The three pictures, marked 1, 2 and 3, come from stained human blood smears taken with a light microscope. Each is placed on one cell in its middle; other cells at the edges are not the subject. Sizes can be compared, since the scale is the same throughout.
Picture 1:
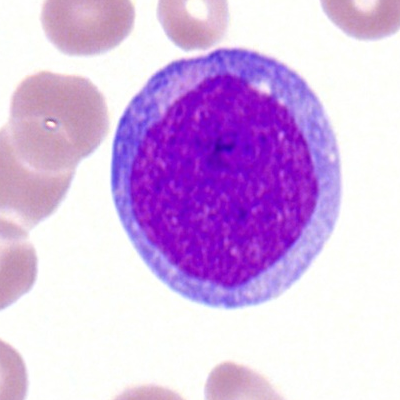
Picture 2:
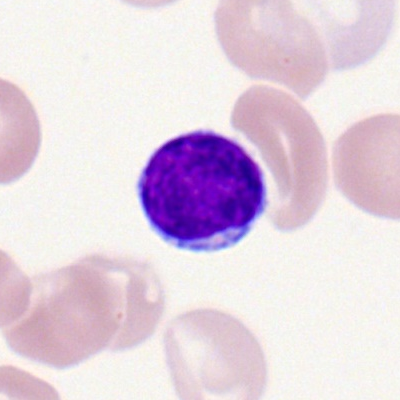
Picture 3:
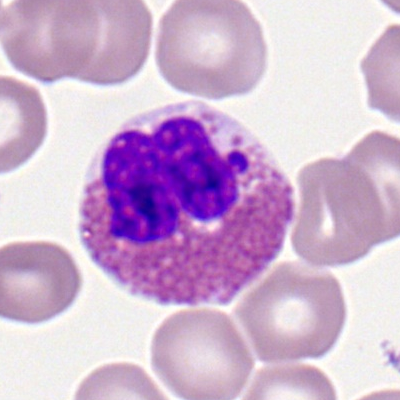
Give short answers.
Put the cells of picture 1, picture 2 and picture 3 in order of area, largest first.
1, 3, 2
